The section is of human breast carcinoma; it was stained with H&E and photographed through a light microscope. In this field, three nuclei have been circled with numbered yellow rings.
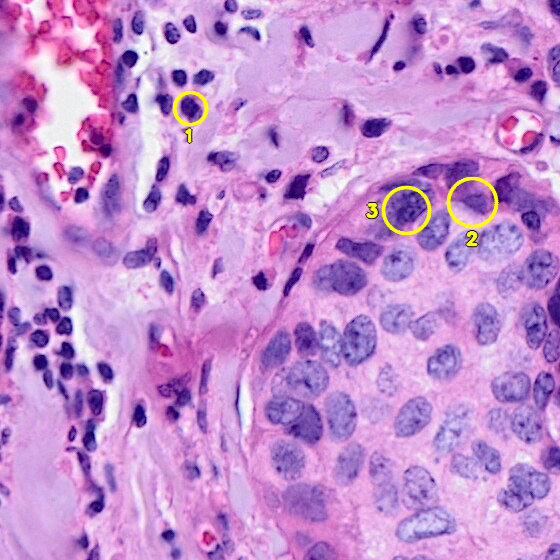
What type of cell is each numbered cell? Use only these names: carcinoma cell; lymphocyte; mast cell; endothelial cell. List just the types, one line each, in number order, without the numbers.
lymphocyte
carcinoma cell
carcinoma cell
